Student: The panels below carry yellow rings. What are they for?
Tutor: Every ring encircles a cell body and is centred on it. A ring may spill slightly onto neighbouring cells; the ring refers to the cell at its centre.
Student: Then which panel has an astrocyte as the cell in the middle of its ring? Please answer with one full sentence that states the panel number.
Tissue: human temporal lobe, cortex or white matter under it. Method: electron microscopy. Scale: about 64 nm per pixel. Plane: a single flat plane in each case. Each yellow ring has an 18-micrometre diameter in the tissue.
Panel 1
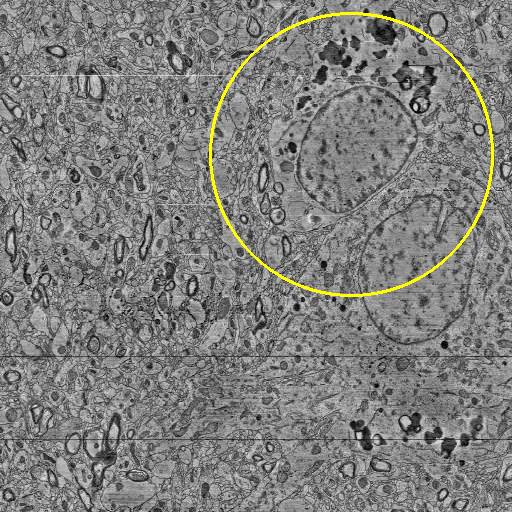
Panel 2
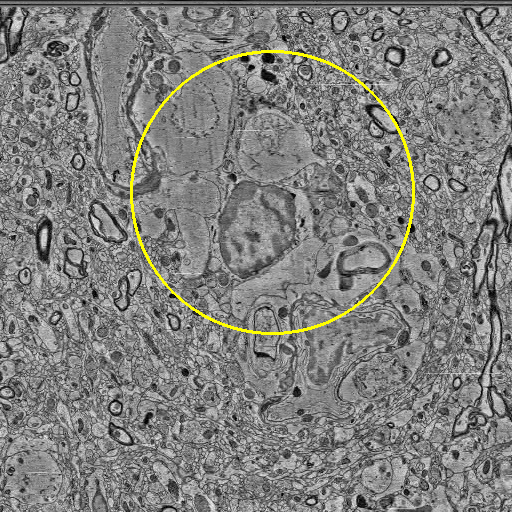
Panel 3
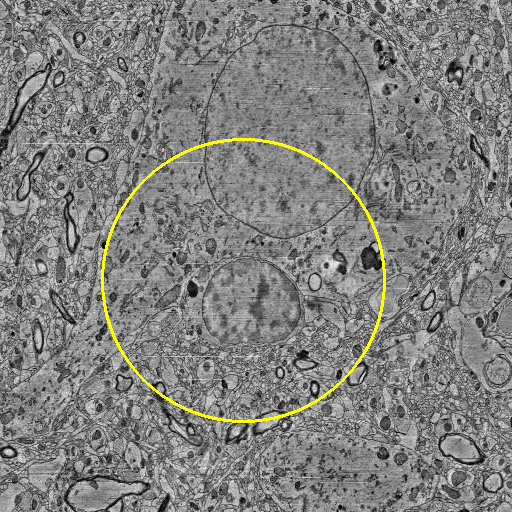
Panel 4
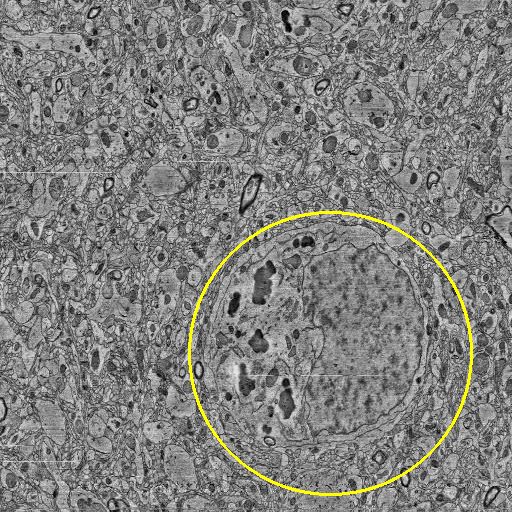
In Panel 1, the cell centred in the ring is the one sought.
